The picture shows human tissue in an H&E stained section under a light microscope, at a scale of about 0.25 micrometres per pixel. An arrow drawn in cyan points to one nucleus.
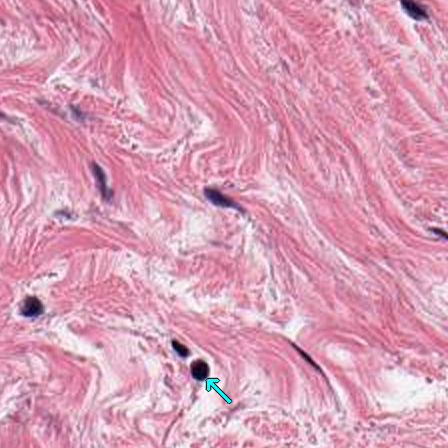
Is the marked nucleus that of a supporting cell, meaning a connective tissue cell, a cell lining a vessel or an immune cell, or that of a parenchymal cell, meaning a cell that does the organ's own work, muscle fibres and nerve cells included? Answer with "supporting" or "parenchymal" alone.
supporting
